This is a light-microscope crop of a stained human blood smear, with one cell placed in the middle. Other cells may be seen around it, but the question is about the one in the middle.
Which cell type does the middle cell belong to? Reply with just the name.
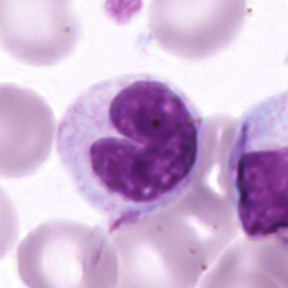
band neutrophil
